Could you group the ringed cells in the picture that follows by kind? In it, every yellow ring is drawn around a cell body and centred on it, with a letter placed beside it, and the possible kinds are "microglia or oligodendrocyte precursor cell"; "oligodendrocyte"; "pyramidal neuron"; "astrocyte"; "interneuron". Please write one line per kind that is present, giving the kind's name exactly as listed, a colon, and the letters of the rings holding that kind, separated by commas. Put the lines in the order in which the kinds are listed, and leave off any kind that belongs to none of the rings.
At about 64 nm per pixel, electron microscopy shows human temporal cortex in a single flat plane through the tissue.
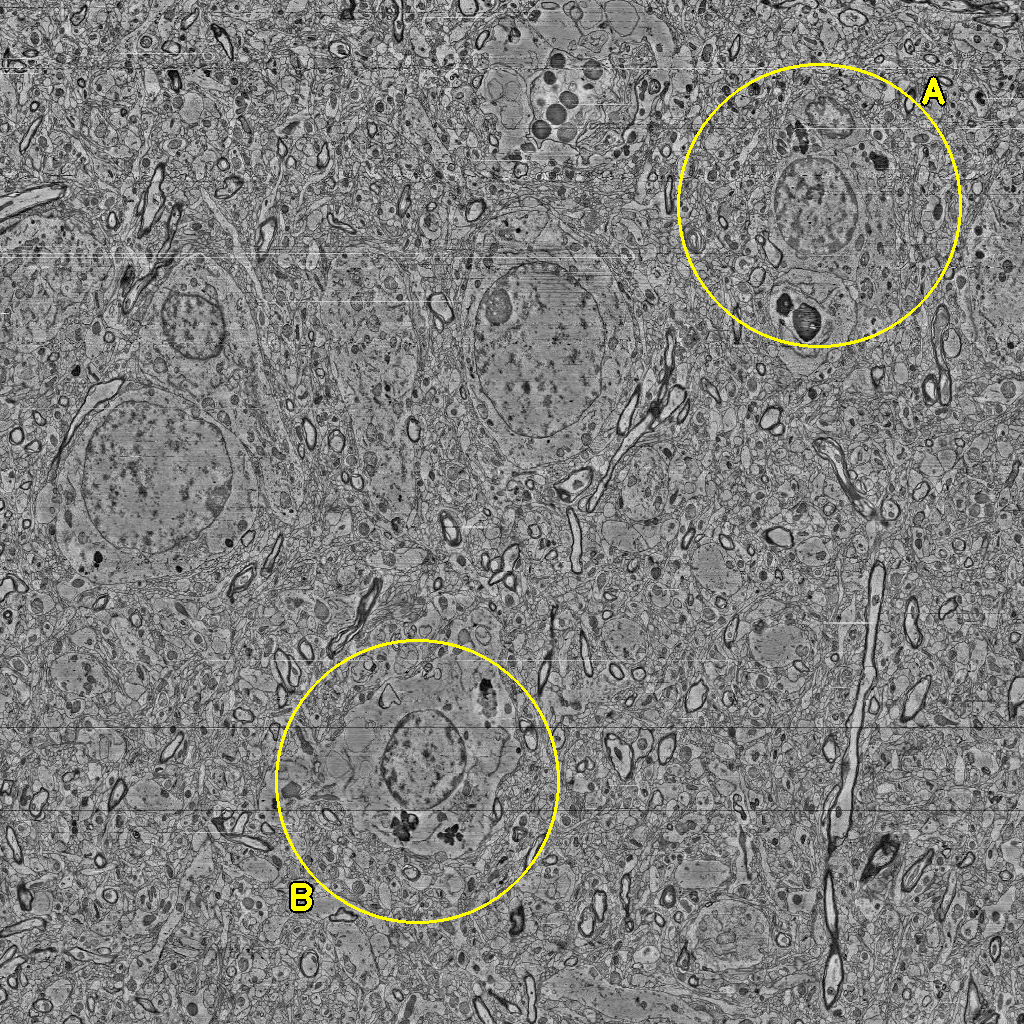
oligodendrocyte: A
astrocyte: B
